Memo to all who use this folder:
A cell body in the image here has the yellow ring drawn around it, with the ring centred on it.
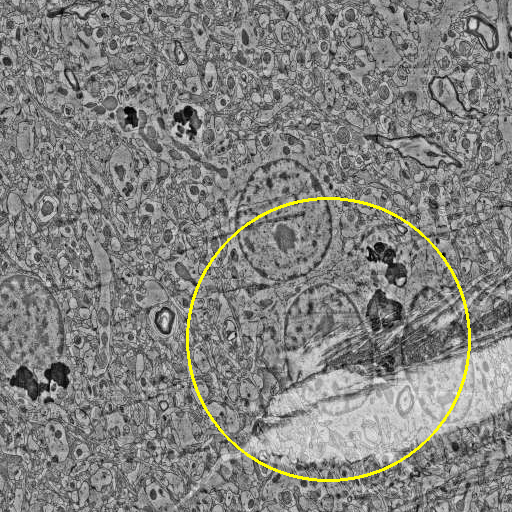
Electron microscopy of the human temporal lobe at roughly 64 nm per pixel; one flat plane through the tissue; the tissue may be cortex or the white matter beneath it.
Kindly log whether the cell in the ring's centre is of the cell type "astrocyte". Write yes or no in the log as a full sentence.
Yes, logged: the ring in this image is centred on a cell of that type.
